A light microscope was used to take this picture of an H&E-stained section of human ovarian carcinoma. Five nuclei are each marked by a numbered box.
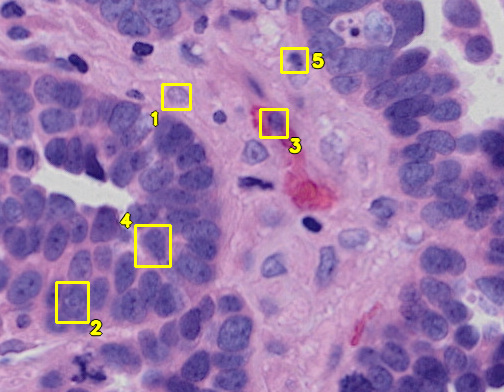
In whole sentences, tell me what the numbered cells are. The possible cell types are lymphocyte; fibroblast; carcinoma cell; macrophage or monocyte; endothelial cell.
Cell 1 is a fibroblast. Cells 2 and 4 are carcinoma cells. Cell 3 is an endothelial cell. Cell 5 is a lymphocyte.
